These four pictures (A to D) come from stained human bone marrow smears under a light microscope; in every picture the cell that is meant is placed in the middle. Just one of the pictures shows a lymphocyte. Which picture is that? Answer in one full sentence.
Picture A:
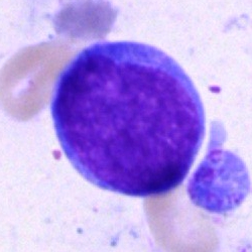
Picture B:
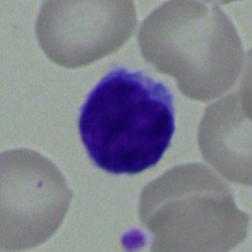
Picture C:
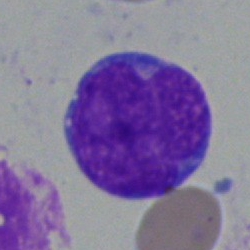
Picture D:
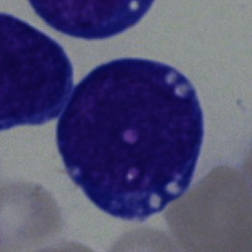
Picture B shows the lymphocyte.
